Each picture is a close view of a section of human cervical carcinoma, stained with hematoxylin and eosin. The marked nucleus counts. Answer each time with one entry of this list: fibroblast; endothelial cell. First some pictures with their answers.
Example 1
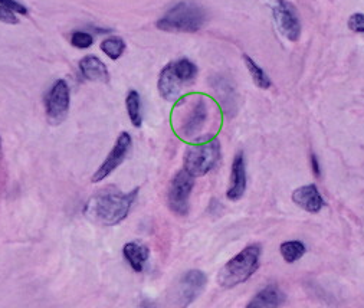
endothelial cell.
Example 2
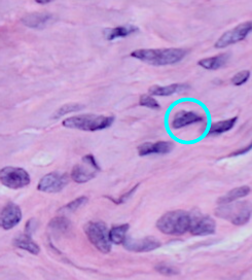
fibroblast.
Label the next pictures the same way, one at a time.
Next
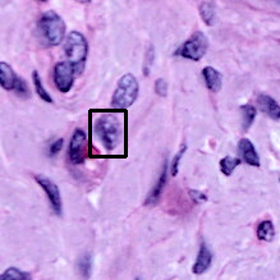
endothelial cell.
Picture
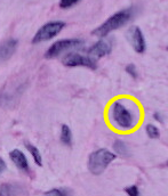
fibroblast.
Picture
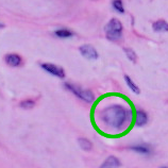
endothelial cell.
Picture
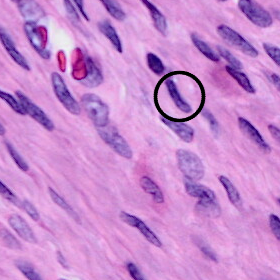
fibroblast.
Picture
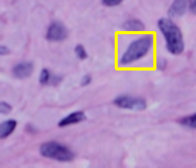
fibroblast.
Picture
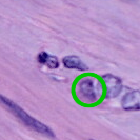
endothelial cell.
